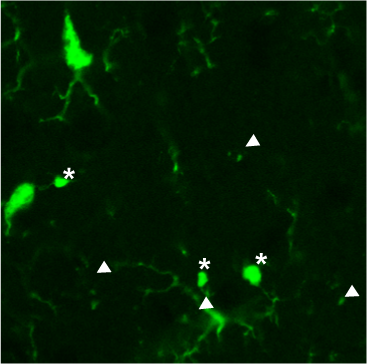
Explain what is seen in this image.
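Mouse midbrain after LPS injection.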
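Green fluorescence image of brain tissue showing cells of differing form. Several cells have small bodies with long, thin, branching processes spreading through the field. Other green cells, marked by asterisks, are small, round and bright, without processes. A large bright green cell body with short thick extensions sits at the top left. Places marked by arrowheads show little or no green.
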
